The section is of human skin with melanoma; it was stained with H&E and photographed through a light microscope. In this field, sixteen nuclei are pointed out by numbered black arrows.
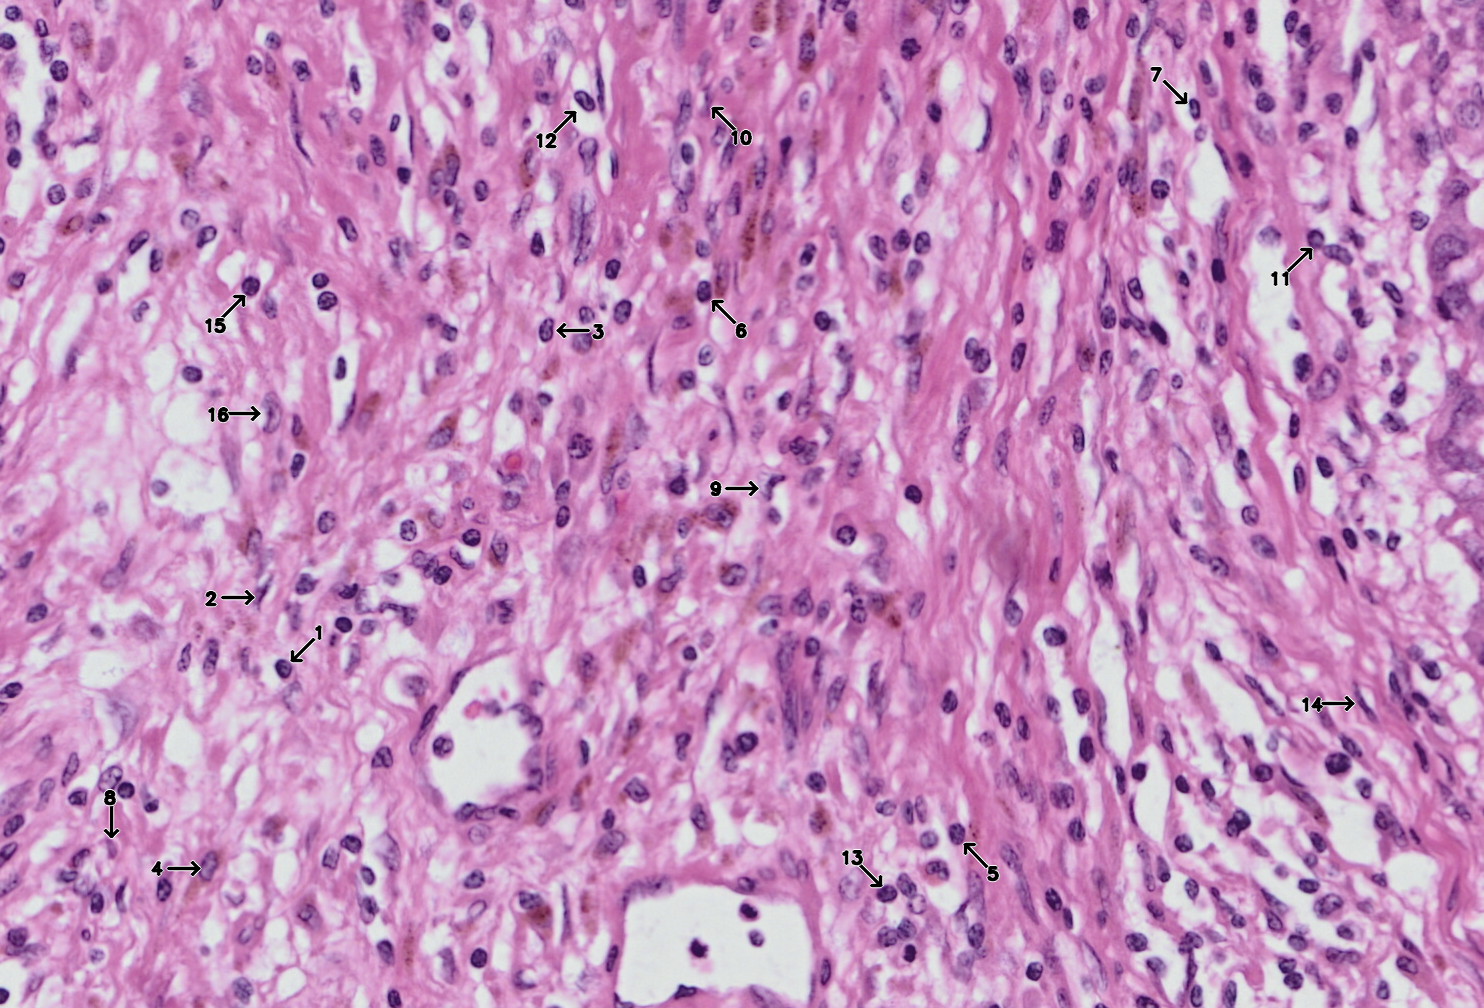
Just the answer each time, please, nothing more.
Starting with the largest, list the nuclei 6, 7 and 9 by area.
9, 6, 7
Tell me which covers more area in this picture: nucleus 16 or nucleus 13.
16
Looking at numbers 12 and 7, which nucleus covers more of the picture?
12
